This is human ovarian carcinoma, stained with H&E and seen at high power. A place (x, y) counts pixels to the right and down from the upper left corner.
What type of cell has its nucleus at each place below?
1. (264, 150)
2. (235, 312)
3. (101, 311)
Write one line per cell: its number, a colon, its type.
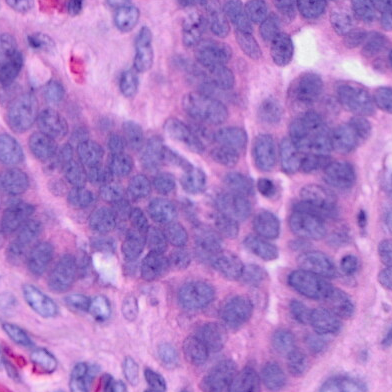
1: carcinoma cell
2: carcinoma cell
3: fibroblast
